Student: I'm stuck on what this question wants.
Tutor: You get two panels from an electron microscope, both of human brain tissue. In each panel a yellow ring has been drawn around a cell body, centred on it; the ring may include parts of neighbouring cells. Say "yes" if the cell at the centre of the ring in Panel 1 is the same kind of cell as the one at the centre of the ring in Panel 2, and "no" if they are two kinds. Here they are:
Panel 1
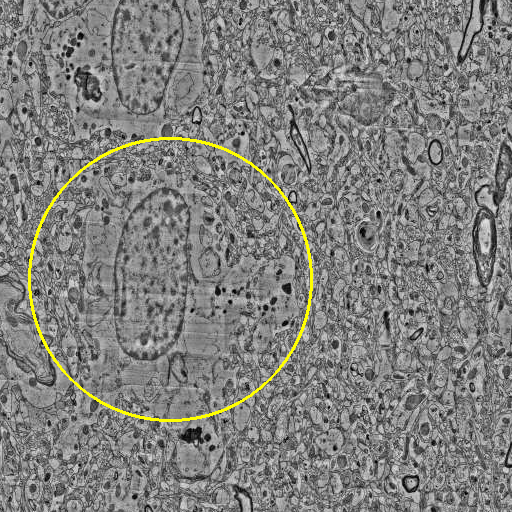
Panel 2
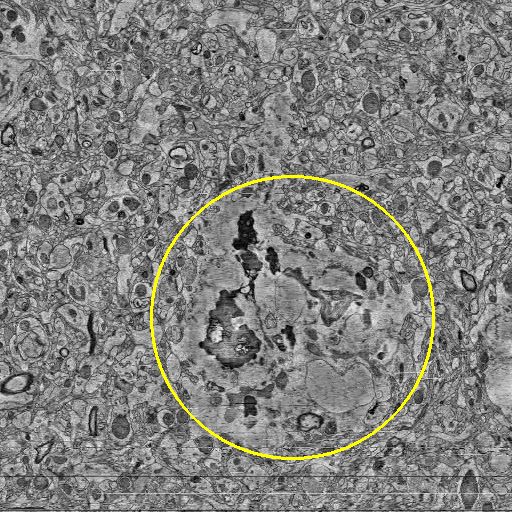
yes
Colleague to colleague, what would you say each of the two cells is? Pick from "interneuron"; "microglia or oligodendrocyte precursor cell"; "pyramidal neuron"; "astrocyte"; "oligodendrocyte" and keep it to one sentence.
Each one of the two ringed cells is an astrocyte.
